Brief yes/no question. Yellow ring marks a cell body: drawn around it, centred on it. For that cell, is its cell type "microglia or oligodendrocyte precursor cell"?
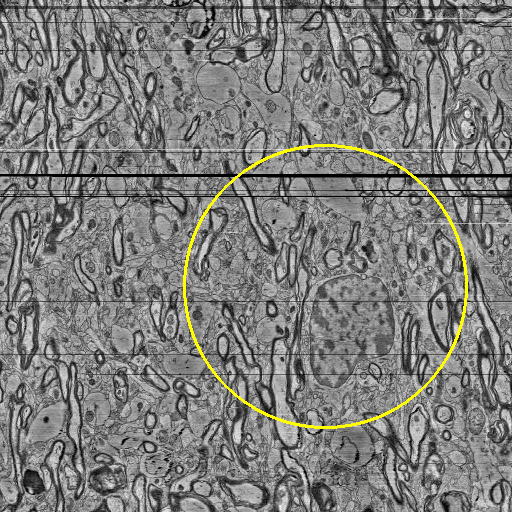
Yes, that is the cell type.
